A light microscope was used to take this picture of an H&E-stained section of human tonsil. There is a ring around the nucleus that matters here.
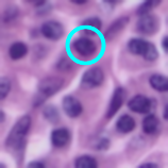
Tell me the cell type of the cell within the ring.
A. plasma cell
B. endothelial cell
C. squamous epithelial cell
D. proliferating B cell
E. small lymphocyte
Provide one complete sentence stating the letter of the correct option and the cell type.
Option A gives the correct identity of the cell within the ring, which is a plasma cell.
